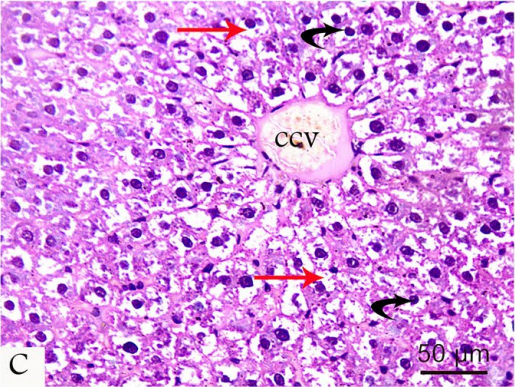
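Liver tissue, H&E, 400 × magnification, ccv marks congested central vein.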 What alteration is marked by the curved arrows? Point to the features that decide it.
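Small, dense, dark-staining shrunken nuclei. Nuclei lack visible chromatin detail. The answer: pyknotic nuclei.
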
